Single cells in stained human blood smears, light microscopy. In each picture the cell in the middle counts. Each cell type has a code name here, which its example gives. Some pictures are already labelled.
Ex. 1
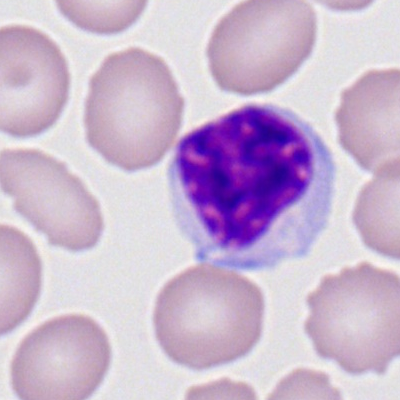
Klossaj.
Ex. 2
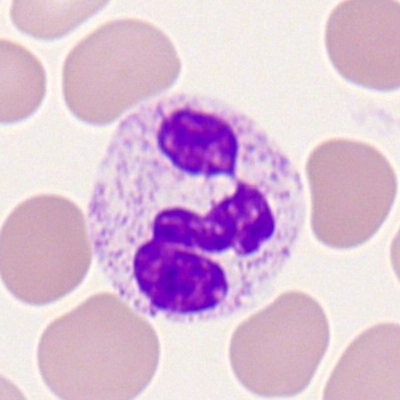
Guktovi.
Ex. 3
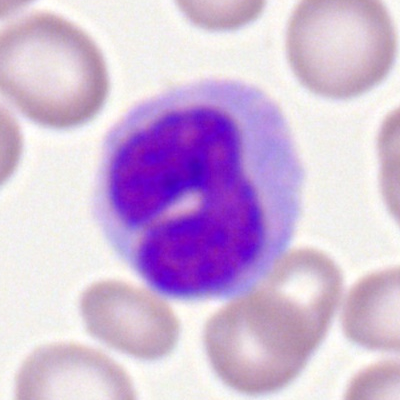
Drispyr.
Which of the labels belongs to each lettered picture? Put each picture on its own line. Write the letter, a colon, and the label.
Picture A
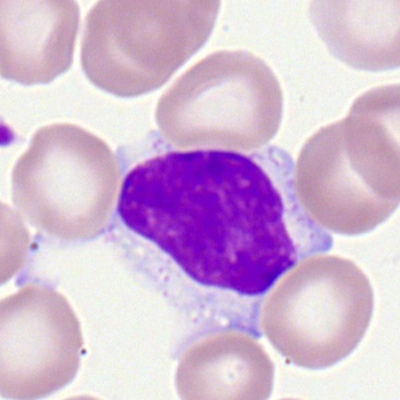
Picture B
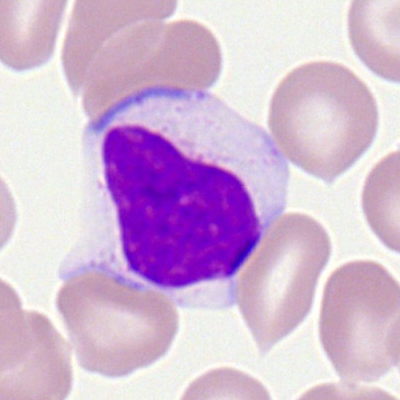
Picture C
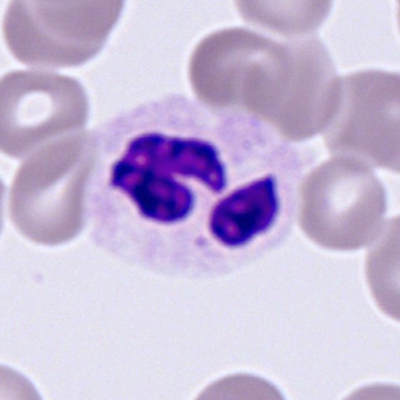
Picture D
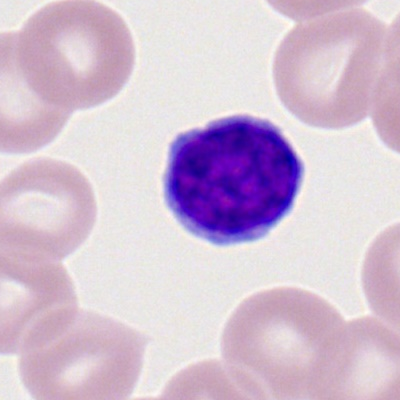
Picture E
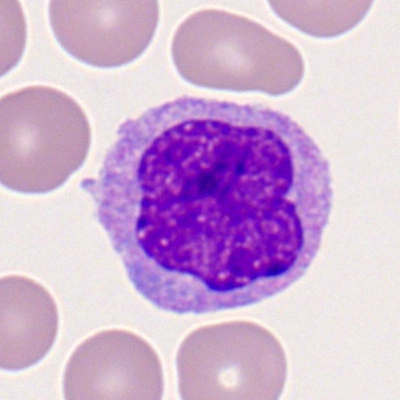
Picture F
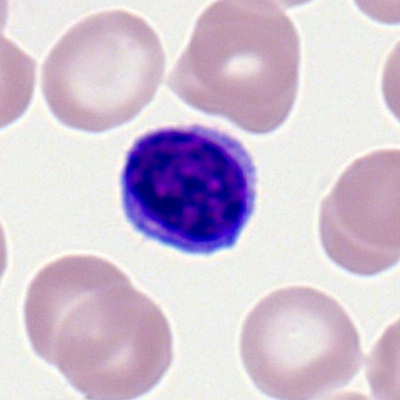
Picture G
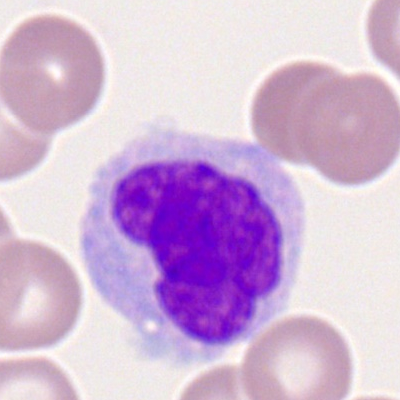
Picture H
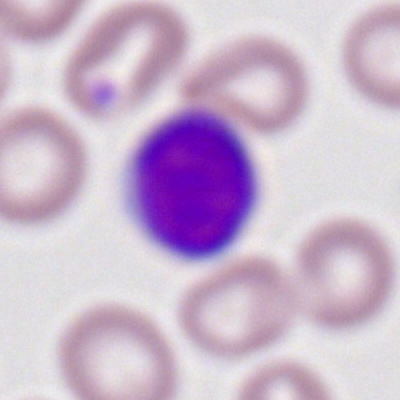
A: Klossaj.
B: Klossaj.
C: Guktovi.
D: Klossaj.
E: Drispyr.
F: Klossaj.
G: Drispyr.
H: Klossaj.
